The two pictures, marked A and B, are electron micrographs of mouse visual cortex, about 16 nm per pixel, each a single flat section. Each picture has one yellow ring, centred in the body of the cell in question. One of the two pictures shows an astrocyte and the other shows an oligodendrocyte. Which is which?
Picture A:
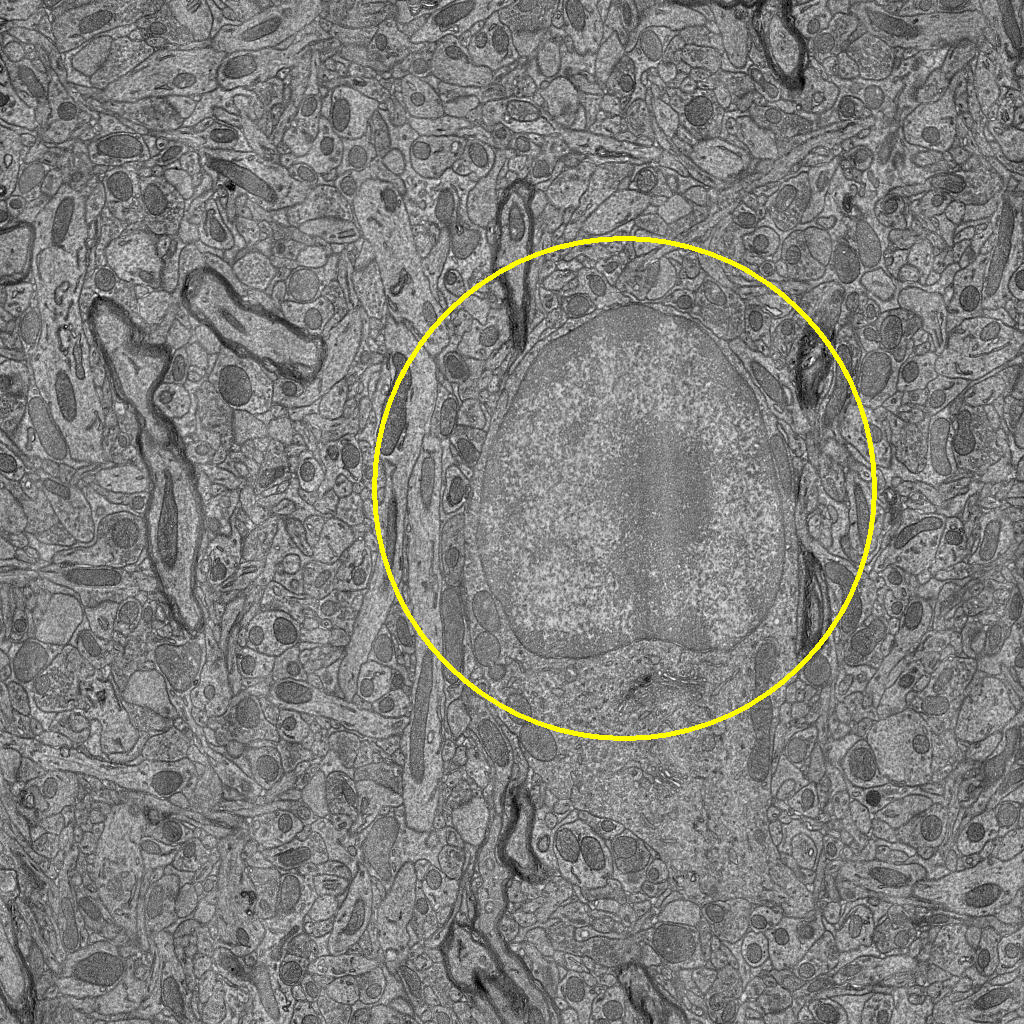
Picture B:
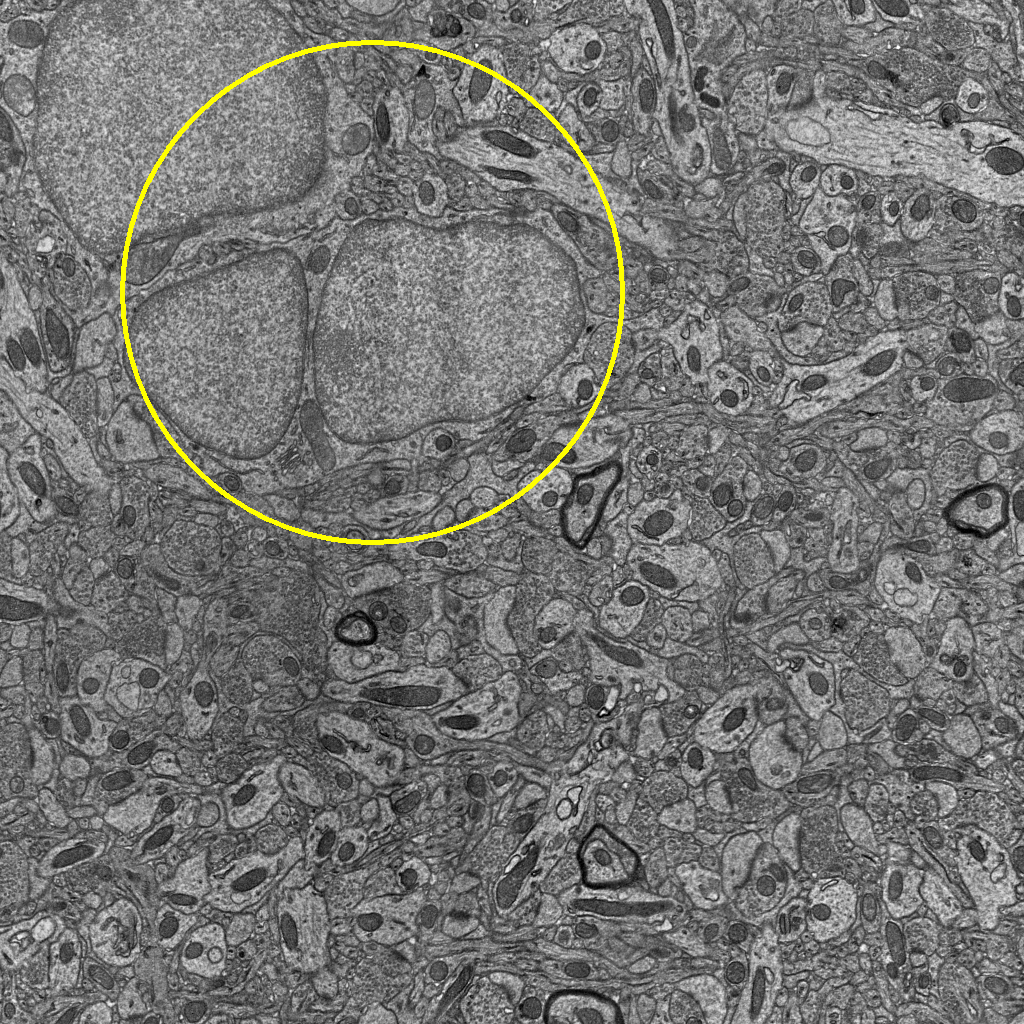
Picture B shows an astrocyte, while picture A shows an oligodendrocyte.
